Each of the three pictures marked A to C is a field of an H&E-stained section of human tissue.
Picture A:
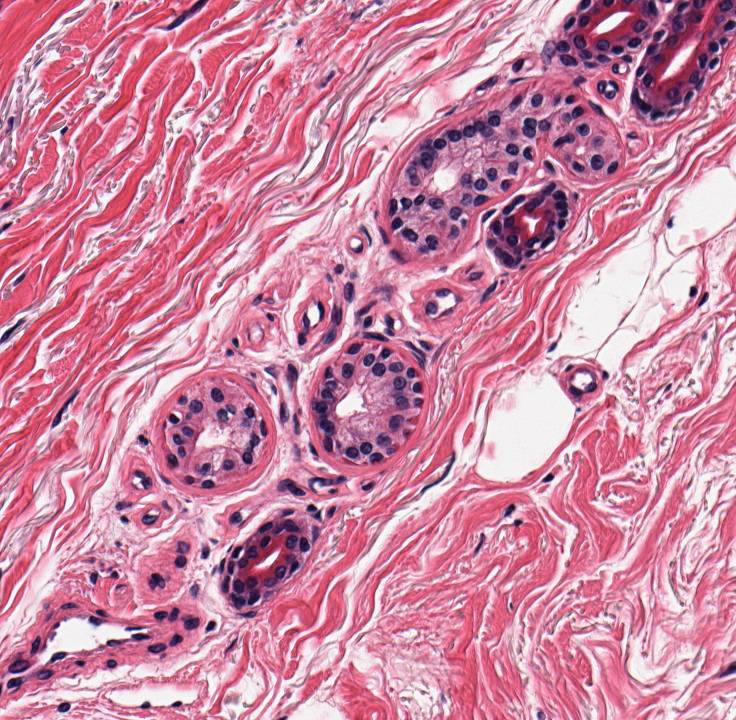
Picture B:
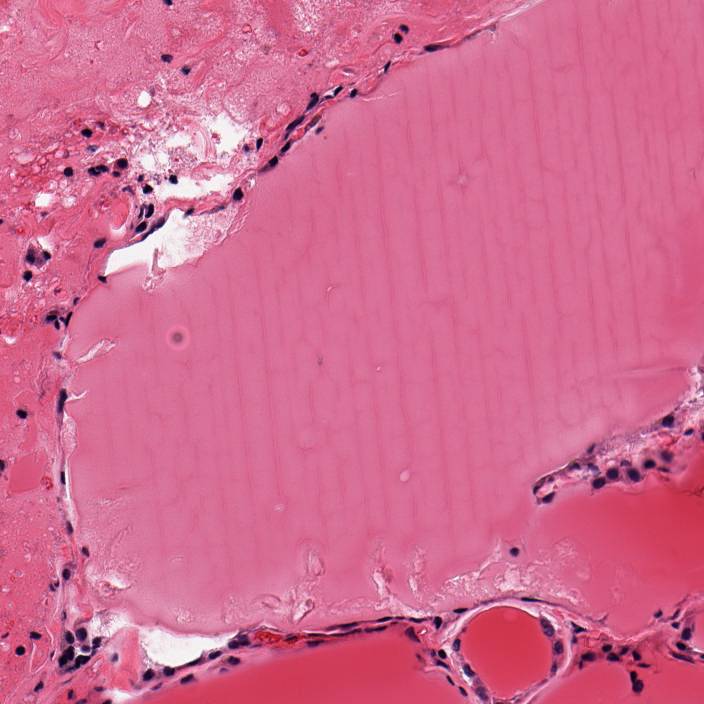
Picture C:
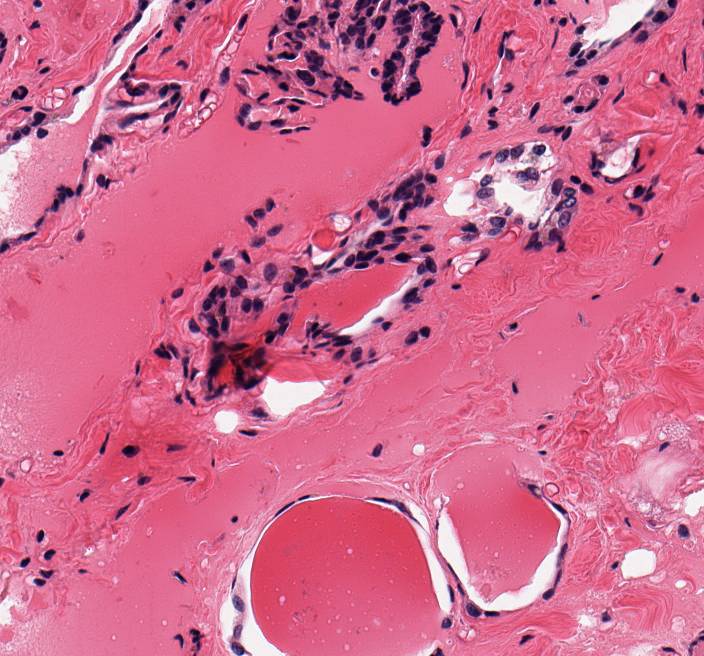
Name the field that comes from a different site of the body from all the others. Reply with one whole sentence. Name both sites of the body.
Picture A is the odd one out: it comes from the skin of the lower leg, while the others come from the thyroid.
